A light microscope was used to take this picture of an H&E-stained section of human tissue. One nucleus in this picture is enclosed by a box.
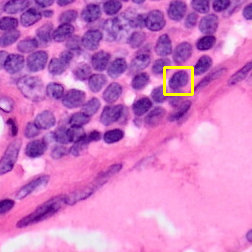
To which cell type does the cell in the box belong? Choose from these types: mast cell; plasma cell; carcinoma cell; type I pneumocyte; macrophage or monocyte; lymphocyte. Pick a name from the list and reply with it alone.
lymphocyte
